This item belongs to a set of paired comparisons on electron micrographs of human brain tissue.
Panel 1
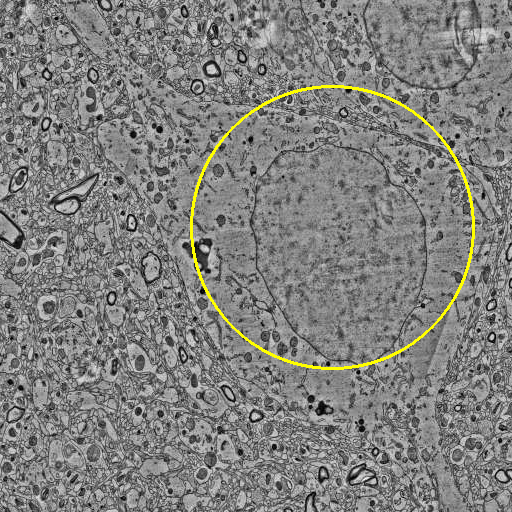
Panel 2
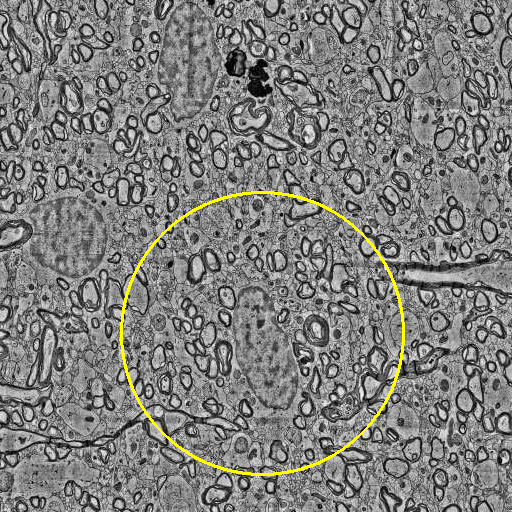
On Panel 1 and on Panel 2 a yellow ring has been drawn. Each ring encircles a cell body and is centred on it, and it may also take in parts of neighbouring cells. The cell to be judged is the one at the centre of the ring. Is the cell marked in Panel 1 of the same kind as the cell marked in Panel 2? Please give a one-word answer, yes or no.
no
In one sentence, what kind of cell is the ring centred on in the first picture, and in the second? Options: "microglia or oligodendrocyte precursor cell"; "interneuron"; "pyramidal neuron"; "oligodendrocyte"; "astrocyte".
The cell at the centre of the second ring is an oligodendrocyte; the first ring's cell is a pyramidal neuron.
